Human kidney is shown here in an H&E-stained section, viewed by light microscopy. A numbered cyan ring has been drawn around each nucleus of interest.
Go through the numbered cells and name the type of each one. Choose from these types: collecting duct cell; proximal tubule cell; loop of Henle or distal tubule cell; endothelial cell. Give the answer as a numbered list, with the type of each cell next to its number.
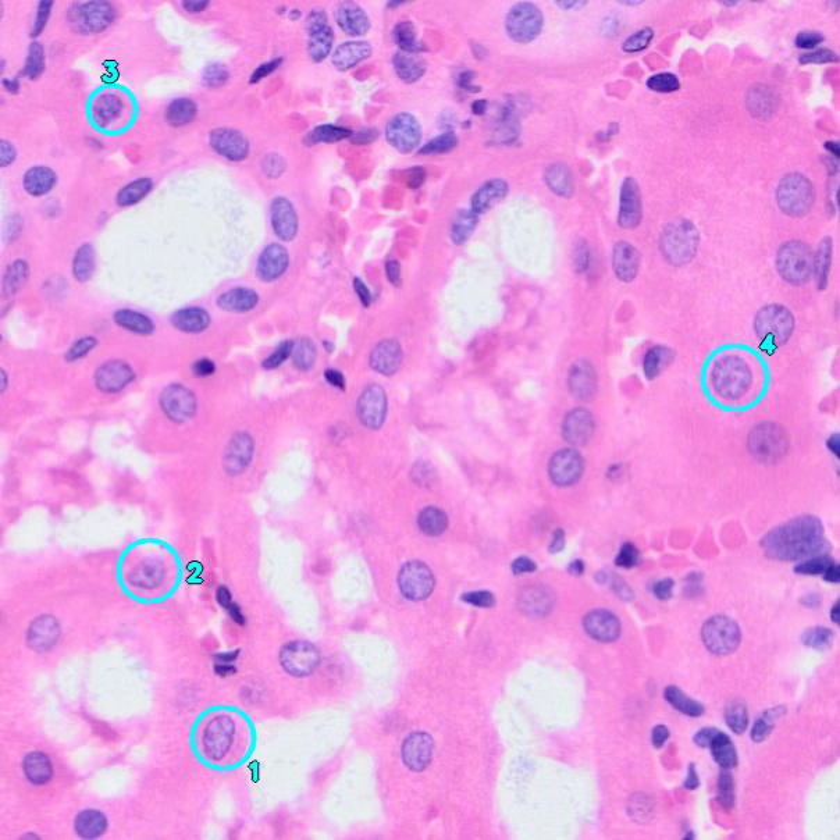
1. proximal tubule cell
2. proximal tubule cell
3. loop of Henle or distal tubule cell
4. proximal tubule cell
